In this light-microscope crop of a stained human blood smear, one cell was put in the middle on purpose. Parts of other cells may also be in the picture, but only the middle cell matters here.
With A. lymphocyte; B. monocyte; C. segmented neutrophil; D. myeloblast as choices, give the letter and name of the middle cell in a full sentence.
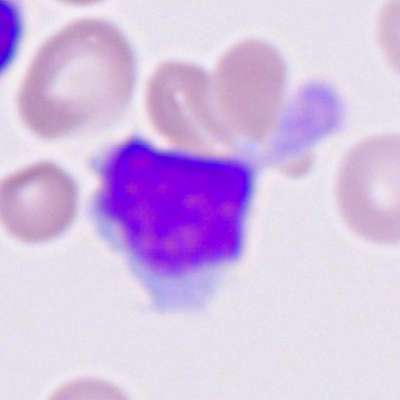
That cell in the center is a lymphocyte, hence option A.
